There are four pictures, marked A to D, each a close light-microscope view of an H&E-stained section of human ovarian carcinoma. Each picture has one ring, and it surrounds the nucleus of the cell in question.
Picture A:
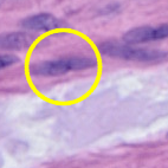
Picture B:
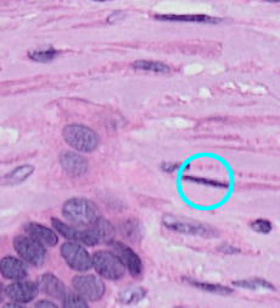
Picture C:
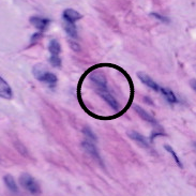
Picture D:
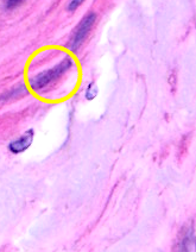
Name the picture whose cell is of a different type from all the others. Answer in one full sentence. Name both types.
All pictures except B show smooth muscle cells; picture B shows a fibroblast.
